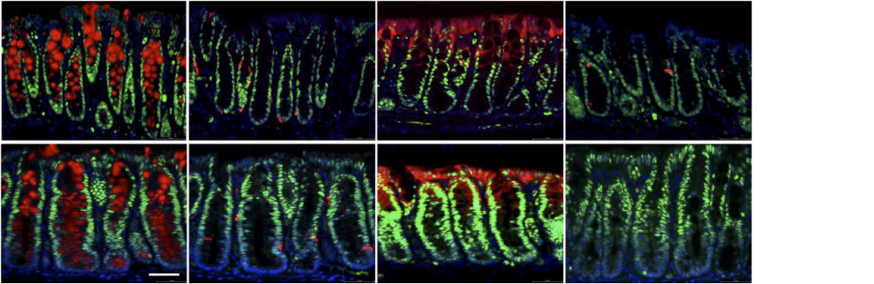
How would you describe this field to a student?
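Colonic mucosa is cut lengthwise, showing rows of straight, parallel crypts lined by a single layer of epithelial cells whose nuclei are stained green, set in blue-nucleated tissue between the crypts. In the first column many large rounded red goblet cells lie among the lining cells, in the second and fourth columns only a few scattered red cells appear in the crypt walls, and in the third column red stain lines the surface epithelium between crypt openings.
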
